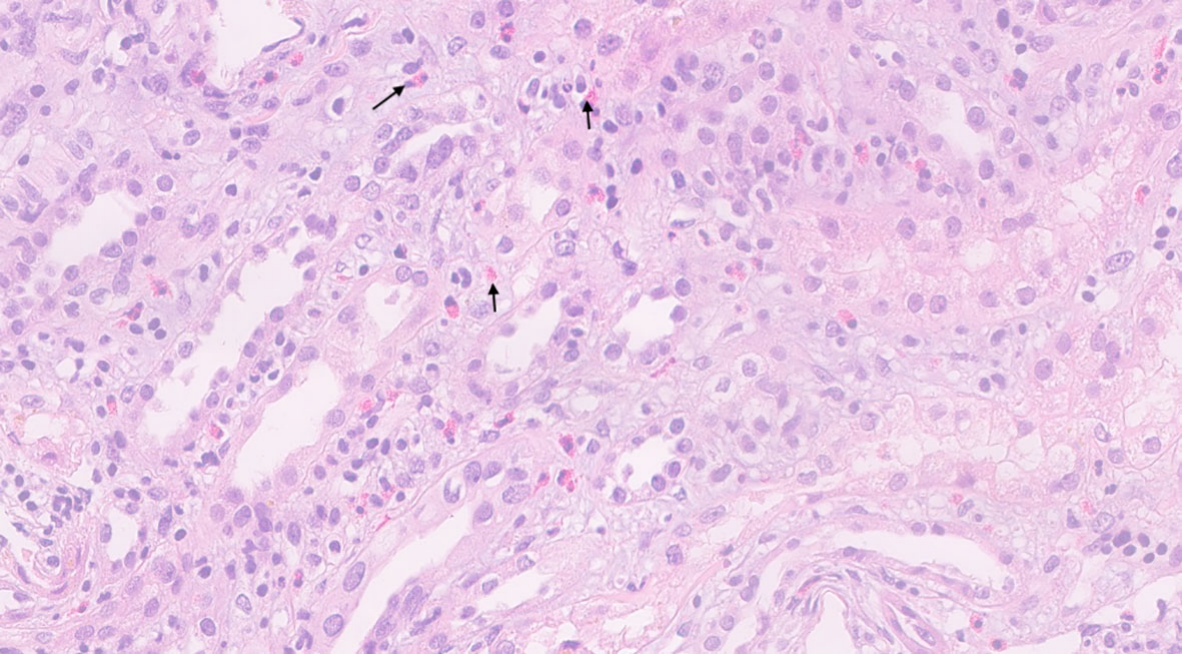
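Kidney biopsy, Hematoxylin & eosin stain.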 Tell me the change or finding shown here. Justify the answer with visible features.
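Many small round dark nuclei lie in the spaces between the tubules. The tubules are pushed apart by a cellular infiltrate. So: Inflammatory cells are present in the interstitium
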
